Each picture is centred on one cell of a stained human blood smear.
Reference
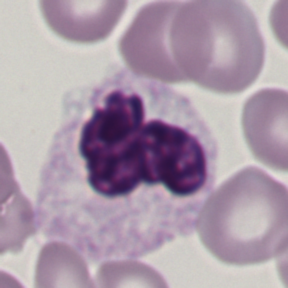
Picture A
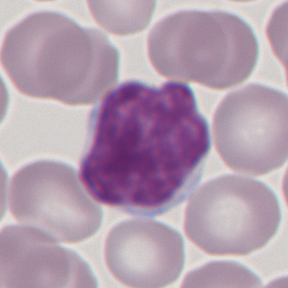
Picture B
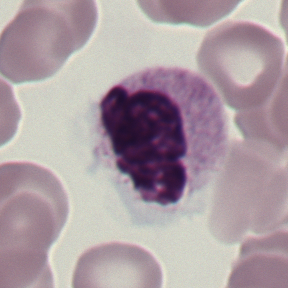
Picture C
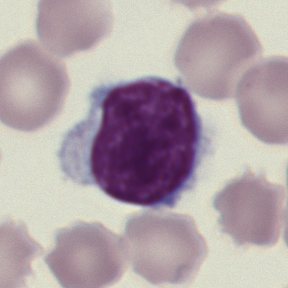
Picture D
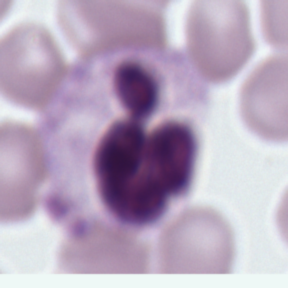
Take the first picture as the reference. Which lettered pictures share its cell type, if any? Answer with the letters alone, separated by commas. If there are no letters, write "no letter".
B, D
